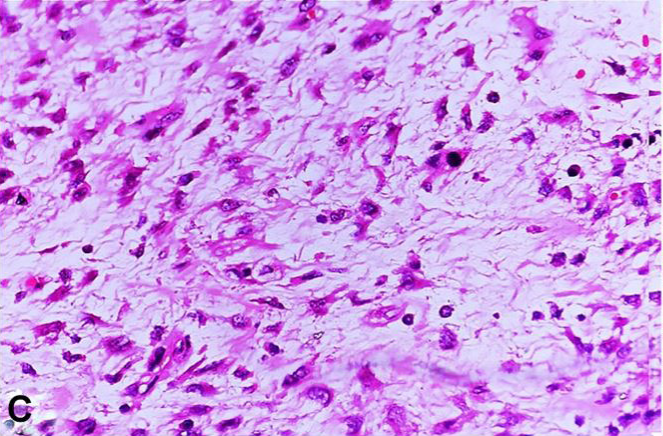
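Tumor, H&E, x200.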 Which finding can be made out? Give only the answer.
Myxoid area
